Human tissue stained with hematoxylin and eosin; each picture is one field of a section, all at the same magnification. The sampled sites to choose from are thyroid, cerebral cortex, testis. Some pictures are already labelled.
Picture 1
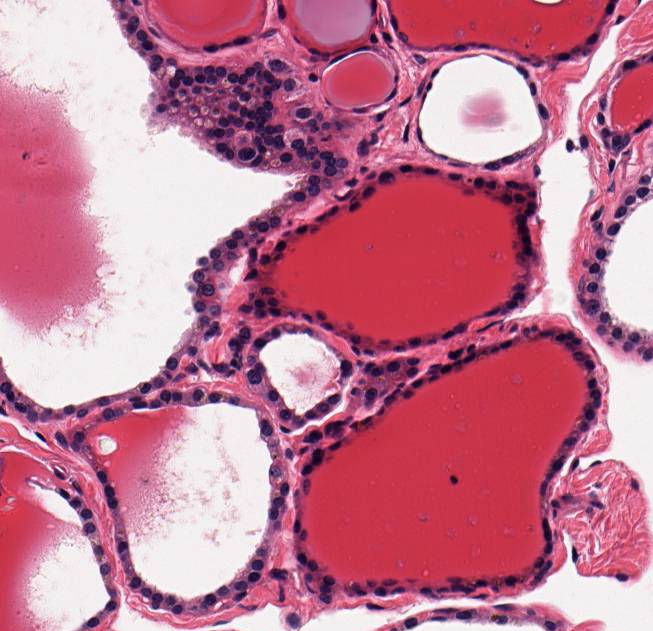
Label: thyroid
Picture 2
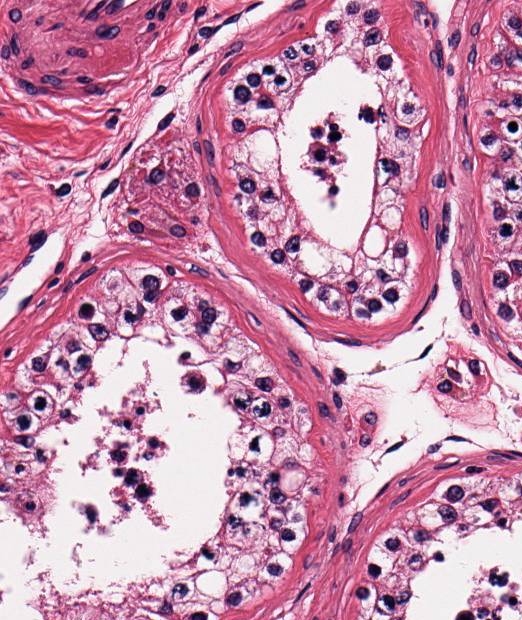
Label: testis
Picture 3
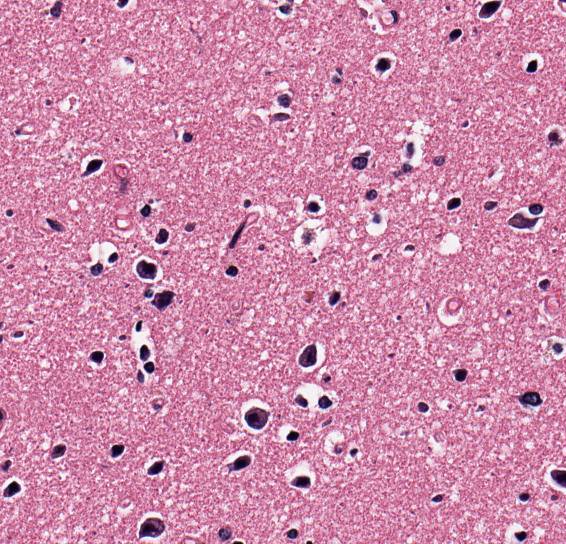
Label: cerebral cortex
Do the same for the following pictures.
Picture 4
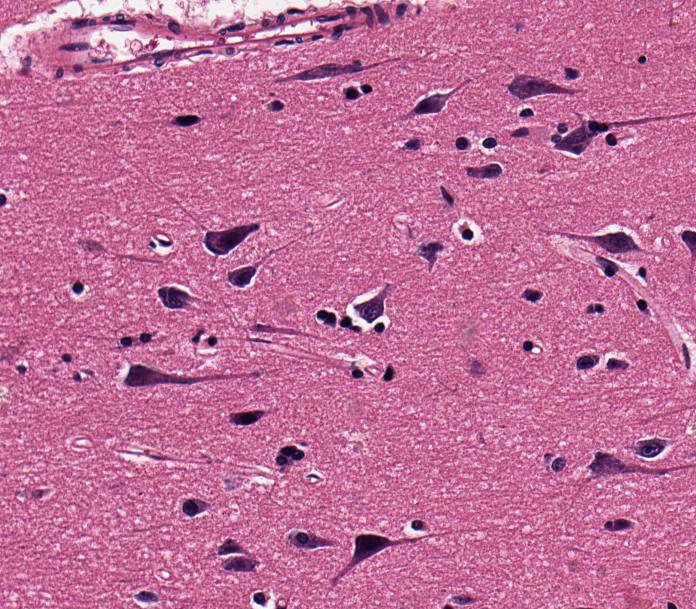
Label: cerebral cortex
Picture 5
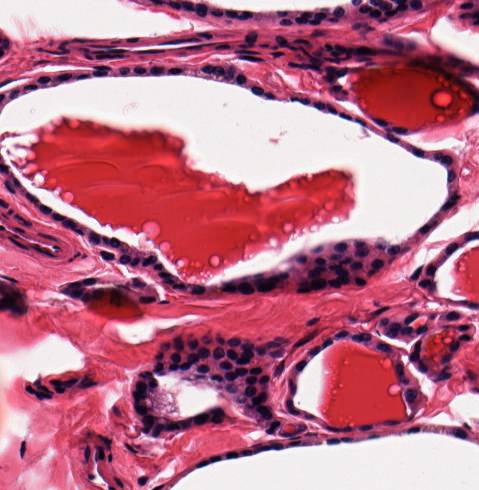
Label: thyroid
